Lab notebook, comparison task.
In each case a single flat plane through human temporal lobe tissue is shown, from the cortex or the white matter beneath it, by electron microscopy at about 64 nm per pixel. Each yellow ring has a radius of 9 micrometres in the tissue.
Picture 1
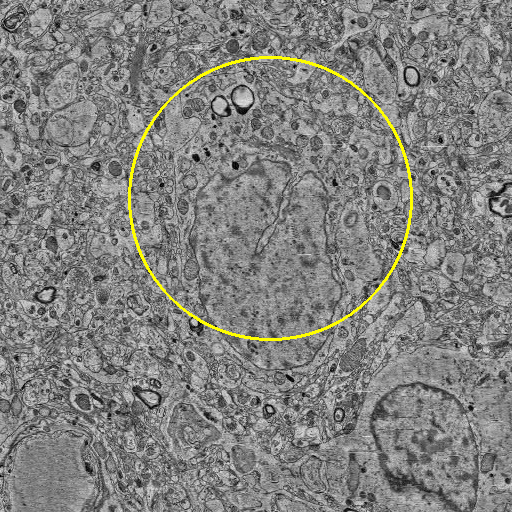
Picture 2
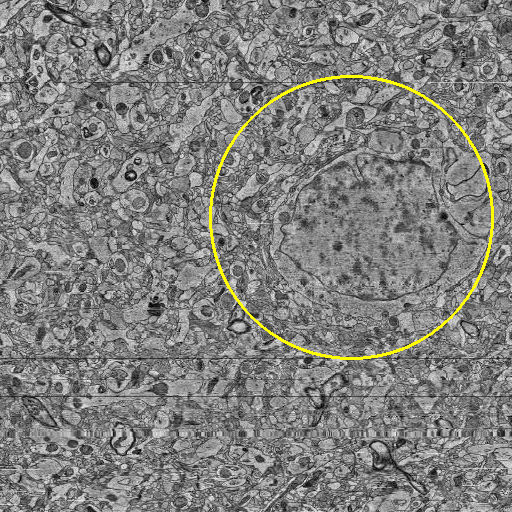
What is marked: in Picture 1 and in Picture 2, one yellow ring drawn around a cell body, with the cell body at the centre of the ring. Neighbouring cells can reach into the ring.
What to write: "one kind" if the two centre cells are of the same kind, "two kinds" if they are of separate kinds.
one kind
